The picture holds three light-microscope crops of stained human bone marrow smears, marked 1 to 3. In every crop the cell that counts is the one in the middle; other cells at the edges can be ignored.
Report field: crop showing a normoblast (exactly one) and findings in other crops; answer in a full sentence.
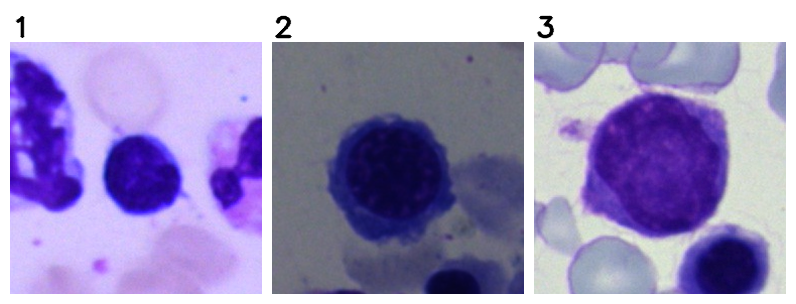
Crop 2 shows a normoblast in its middle, while crop 1 is a lymphocyte and crop 3 is a blast.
